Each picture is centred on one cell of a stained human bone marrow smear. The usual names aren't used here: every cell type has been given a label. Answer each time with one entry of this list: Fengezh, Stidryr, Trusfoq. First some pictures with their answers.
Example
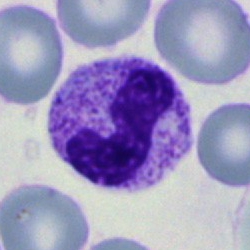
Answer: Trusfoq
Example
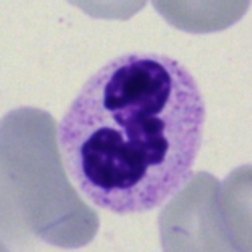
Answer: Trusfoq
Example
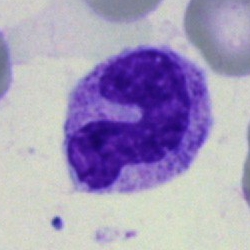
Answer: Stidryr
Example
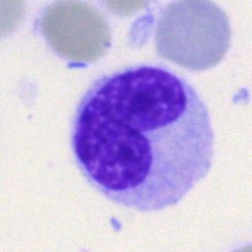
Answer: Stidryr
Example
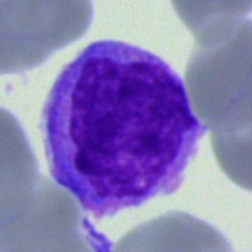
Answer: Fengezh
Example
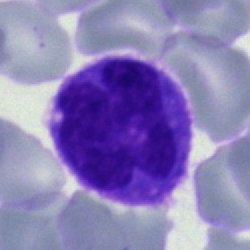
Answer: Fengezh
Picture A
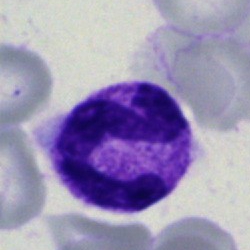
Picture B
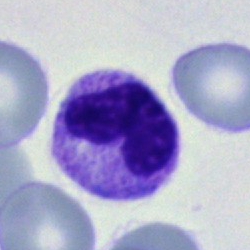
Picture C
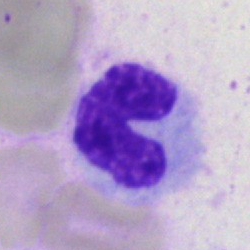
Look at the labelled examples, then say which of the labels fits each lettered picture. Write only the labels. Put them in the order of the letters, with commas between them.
Trusfoq, Stidryr, Stidryr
